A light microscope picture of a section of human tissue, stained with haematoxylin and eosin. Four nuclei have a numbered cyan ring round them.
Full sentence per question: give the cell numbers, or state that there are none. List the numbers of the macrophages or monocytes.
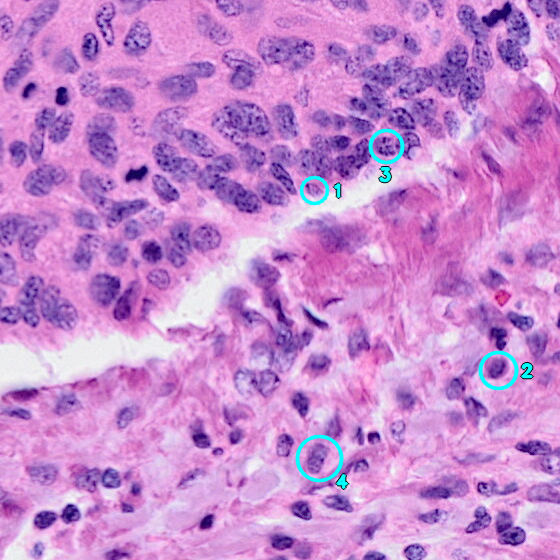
Cell 4 alone, of all the numbered cells, is a macrophage or monocyte.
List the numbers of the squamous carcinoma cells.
The cells shown with numbers 1 and 3 are squamous carcinoma cells.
